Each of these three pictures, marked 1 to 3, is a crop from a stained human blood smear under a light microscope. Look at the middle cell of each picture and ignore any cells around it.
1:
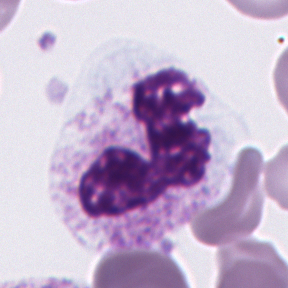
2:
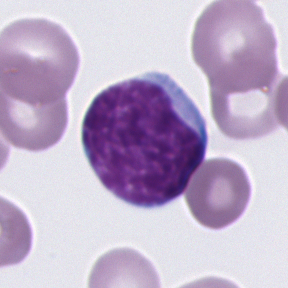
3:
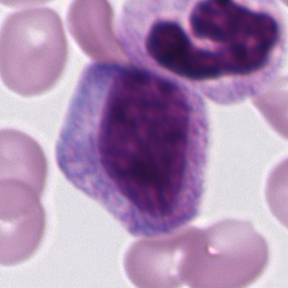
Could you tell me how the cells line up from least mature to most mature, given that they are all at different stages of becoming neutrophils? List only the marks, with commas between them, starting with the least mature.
2, 3, 1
